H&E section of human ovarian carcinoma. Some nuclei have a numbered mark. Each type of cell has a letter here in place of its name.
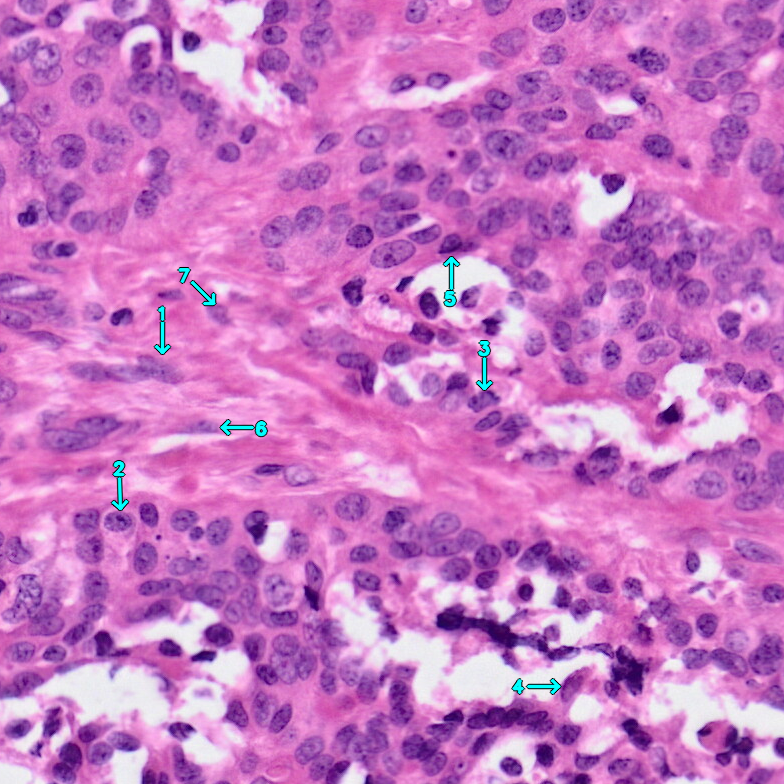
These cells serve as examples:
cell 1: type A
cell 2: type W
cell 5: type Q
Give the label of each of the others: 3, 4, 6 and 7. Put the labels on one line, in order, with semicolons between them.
type W; type Q; type A; type A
